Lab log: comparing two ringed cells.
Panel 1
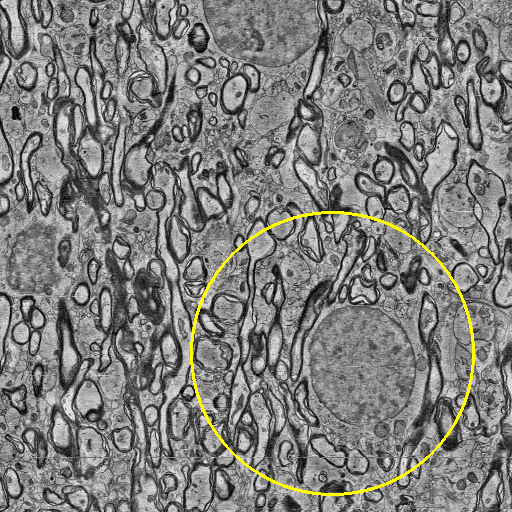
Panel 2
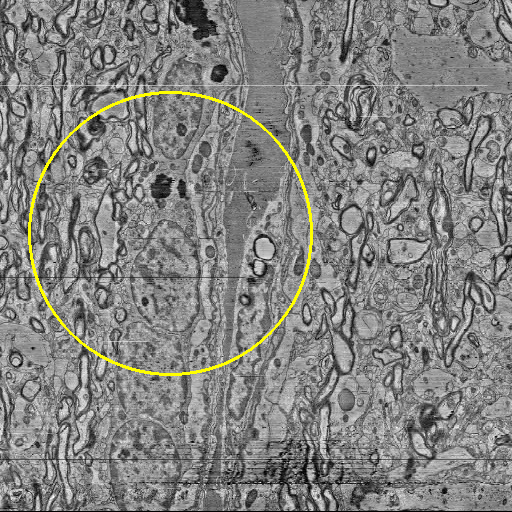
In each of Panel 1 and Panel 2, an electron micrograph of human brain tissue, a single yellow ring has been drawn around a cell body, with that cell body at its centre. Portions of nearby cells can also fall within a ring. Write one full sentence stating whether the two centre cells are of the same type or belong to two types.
The cells at the ring centres in Panel 1 and Panel 2 are of the same type.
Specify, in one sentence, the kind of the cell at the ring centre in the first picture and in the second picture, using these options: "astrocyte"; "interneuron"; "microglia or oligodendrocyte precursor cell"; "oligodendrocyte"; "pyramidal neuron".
Each cell at the centre of a ring is an oligodendrocyte.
